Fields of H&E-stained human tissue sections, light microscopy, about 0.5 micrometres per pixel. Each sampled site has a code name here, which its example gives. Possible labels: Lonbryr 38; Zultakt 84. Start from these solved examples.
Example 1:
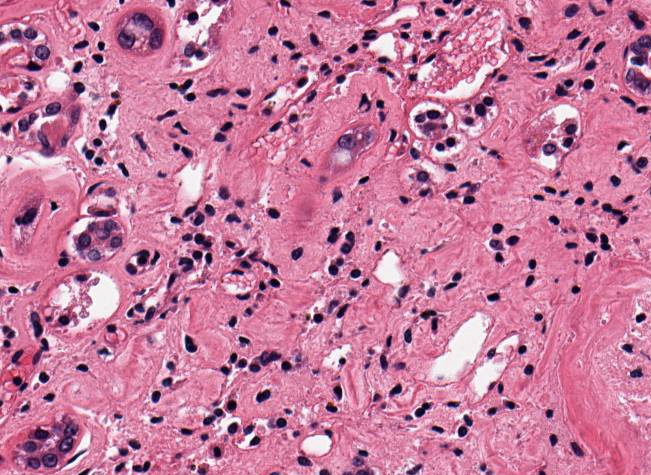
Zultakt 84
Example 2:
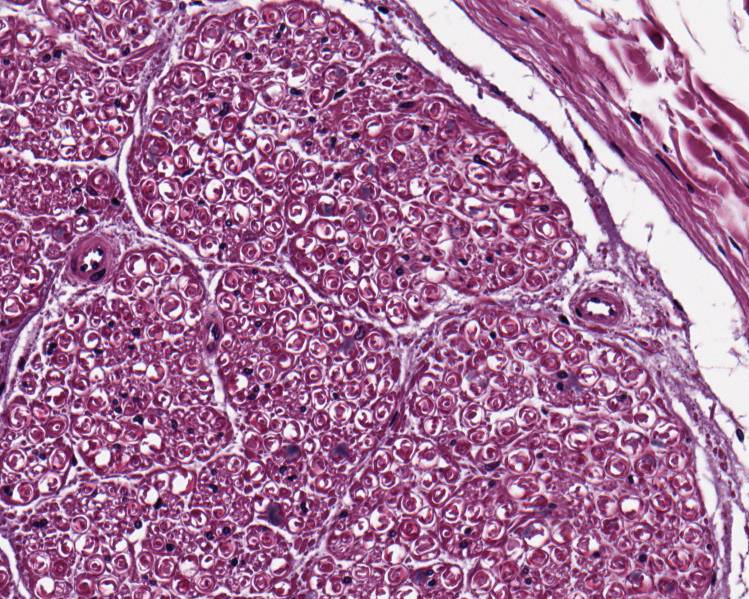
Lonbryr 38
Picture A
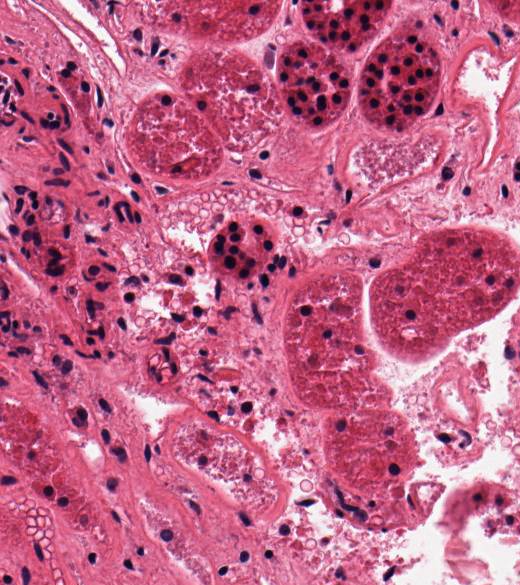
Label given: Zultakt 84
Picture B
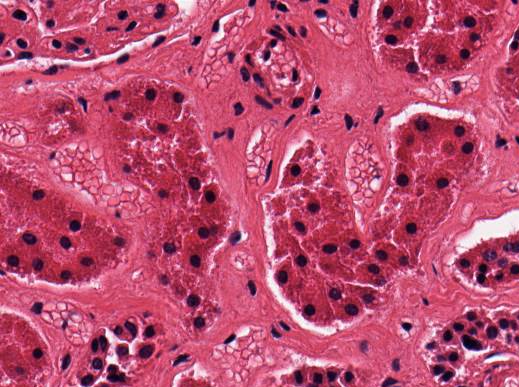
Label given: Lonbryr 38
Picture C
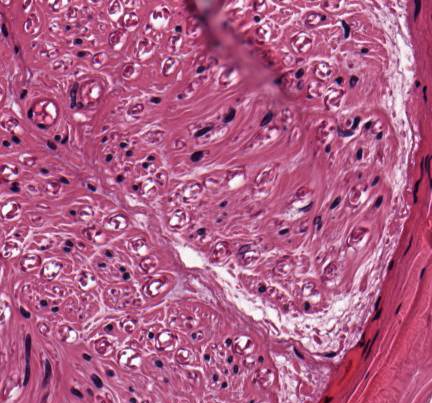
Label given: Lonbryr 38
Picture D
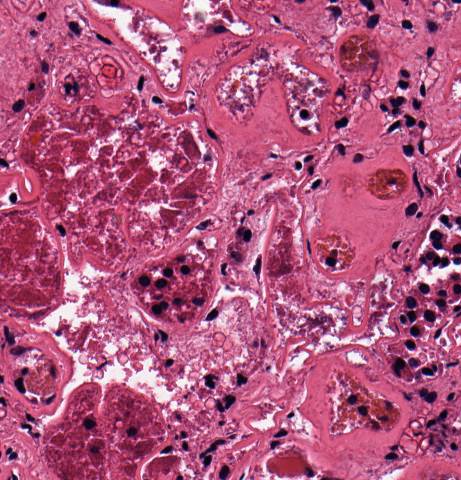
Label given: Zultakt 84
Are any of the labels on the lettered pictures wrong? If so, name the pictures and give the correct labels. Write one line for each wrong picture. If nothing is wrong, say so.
B should be Zultakt 84, not Lonbryr 38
